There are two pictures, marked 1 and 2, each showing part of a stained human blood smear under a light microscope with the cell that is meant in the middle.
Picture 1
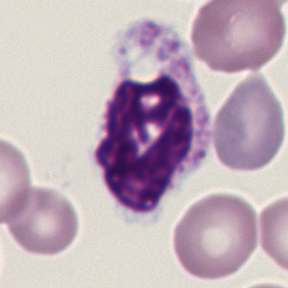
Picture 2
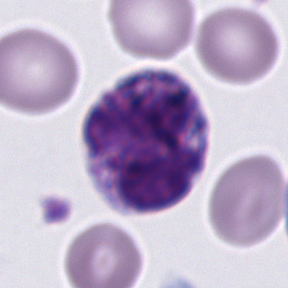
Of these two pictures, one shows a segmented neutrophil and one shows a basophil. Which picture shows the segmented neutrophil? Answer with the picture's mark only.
1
